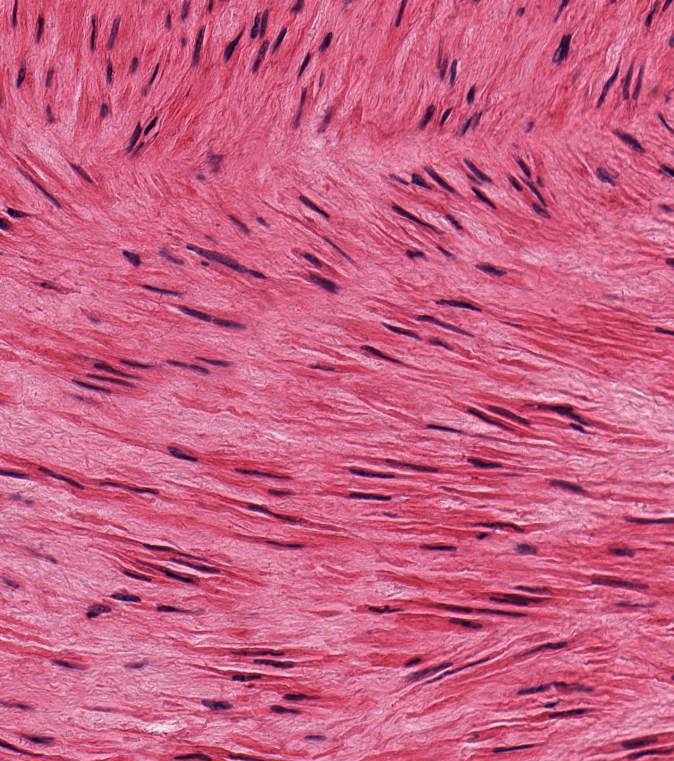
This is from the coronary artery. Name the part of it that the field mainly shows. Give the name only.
tunica media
